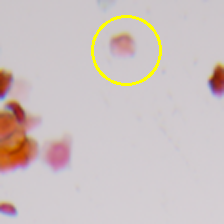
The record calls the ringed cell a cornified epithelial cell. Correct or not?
Correct; it is a cornified epithelial cell.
